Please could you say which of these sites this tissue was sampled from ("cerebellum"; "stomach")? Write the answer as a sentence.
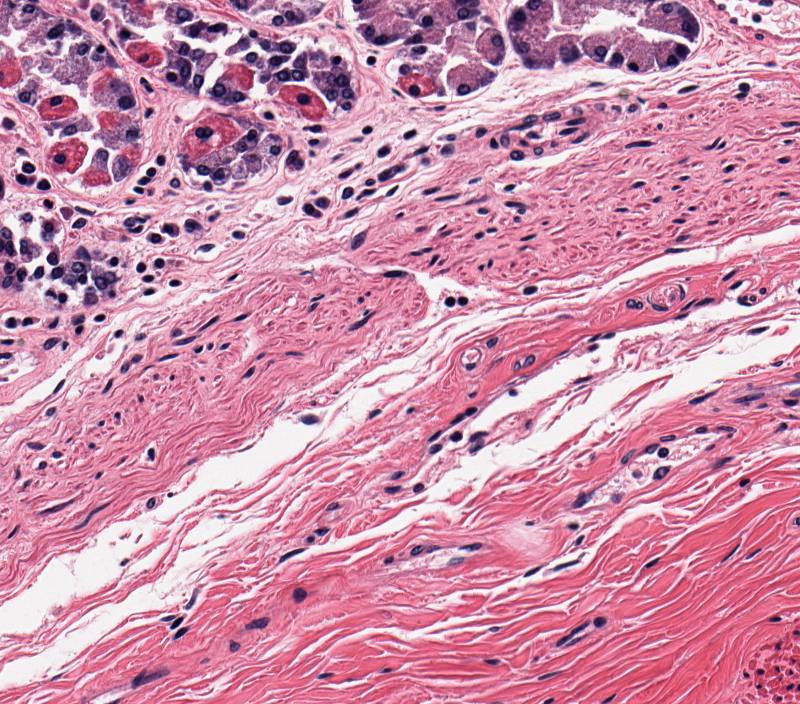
The site this tissue was sampled from is the stomach.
